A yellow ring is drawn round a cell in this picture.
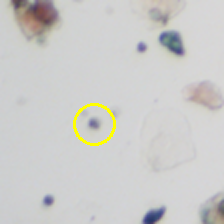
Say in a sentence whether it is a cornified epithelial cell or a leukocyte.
The cell in the ring is a leukocyte.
